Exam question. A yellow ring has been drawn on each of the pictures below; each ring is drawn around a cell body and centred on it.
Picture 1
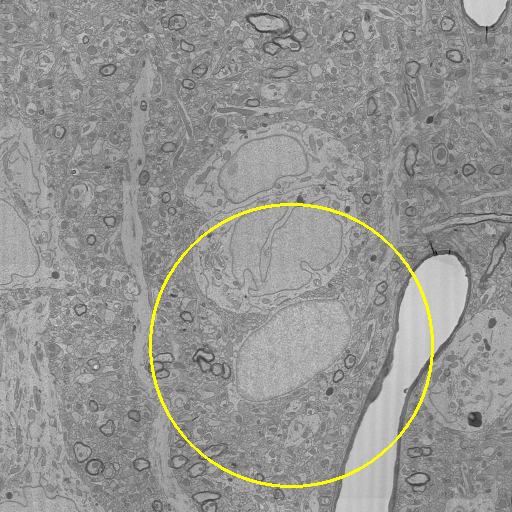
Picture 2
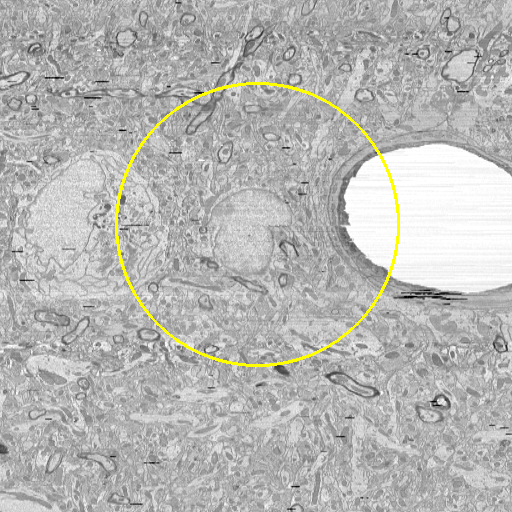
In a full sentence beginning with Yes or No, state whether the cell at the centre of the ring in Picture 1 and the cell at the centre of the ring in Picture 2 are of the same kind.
Yes, the two cells are of the same kind.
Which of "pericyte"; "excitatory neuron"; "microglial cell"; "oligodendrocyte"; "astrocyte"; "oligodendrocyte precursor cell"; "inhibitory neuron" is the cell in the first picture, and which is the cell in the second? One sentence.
The cell at the ring centre is an astrocyte in both pictures.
